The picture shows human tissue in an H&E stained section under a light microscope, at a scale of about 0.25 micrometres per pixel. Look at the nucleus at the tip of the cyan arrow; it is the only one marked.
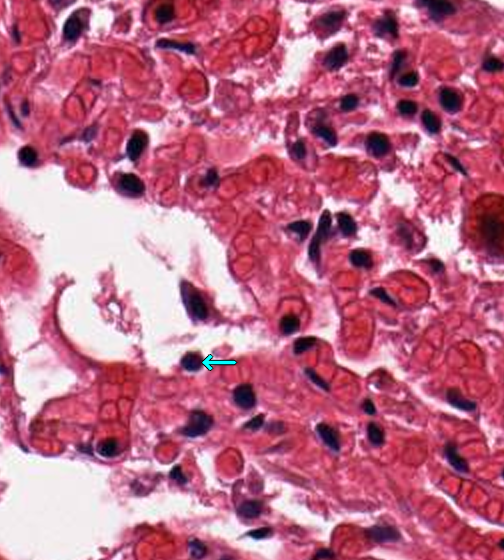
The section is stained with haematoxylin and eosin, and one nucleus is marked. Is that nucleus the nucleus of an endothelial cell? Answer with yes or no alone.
no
